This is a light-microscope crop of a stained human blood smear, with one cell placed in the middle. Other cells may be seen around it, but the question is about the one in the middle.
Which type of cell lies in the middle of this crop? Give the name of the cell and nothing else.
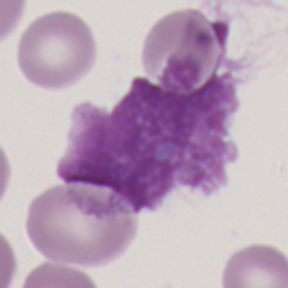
smudge cell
